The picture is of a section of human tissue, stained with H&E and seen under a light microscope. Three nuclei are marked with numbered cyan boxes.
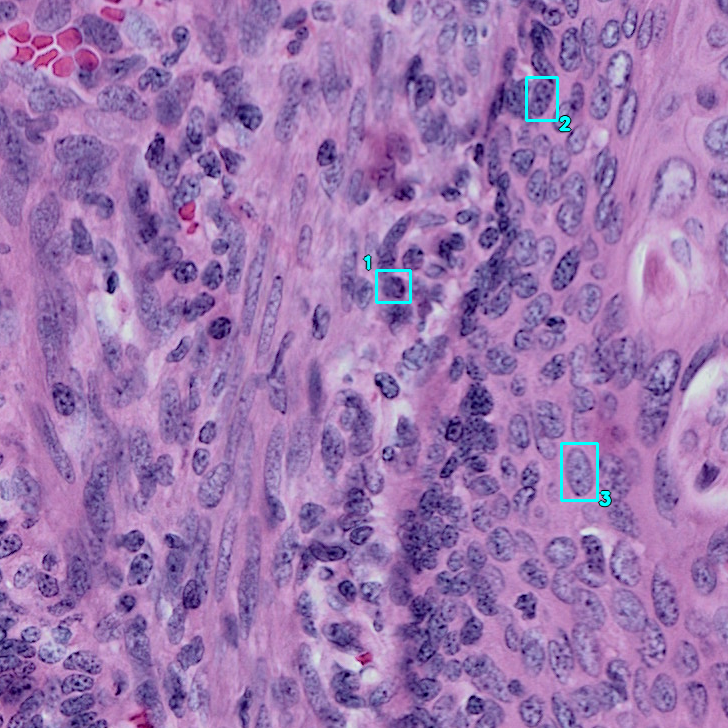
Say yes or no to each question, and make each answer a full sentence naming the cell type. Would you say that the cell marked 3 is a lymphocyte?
No, cell 3 should be classed as a squamous carcinoma cell, not as a lymphocyte.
